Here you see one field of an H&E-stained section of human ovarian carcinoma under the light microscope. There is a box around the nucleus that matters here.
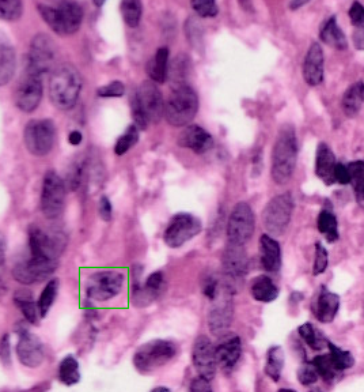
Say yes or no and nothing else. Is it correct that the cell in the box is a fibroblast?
no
